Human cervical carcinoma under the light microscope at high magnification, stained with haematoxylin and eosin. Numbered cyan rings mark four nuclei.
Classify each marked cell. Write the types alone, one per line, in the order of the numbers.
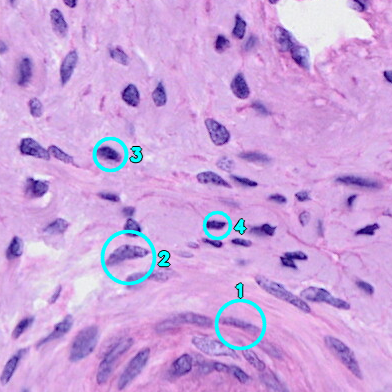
smooth muscle cell
fibroblast
fibroblast
fibroblast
